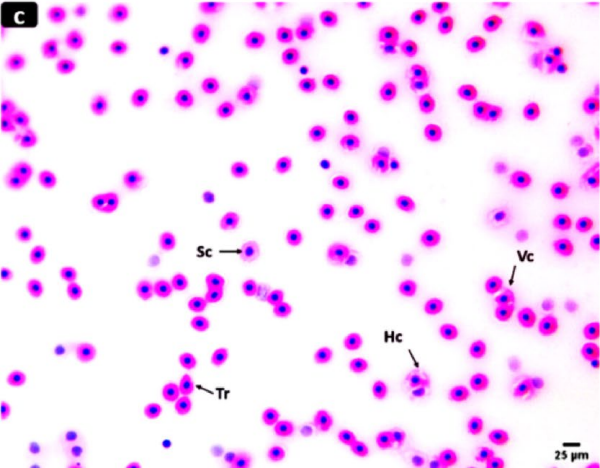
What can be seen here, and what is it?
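Most red cells are still oval with pink cytoplasm and a central dark purple nucleus, but among them are cells that are pale and faintly outlined, like empty ghosts, consistent with hemolyzed cells. Others look enlarged and pale, consistent with swollen cells, and some contain clear spaces in the cytoplasm, consistent with vacuolation. A few cells have a tapered, teardrop-like outline. Small, dark bluish-purple cells lie scattered between the red cells. Compared with a normal smear, the red cells vary much more in shape and staining.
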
